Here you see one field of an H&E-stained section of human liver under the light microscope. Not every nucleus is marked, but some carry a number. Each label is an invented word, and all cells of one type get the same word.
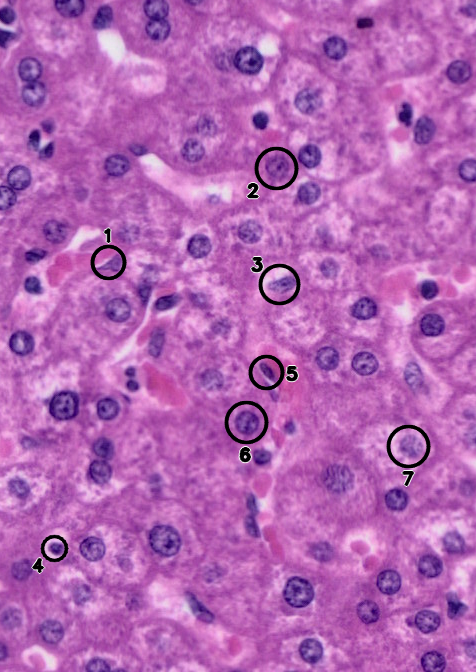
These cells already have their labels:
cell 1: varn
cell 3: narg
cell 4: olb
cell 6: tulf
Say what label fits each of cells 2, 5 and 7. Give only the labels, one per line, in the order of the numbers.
tulf
varn
tulf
